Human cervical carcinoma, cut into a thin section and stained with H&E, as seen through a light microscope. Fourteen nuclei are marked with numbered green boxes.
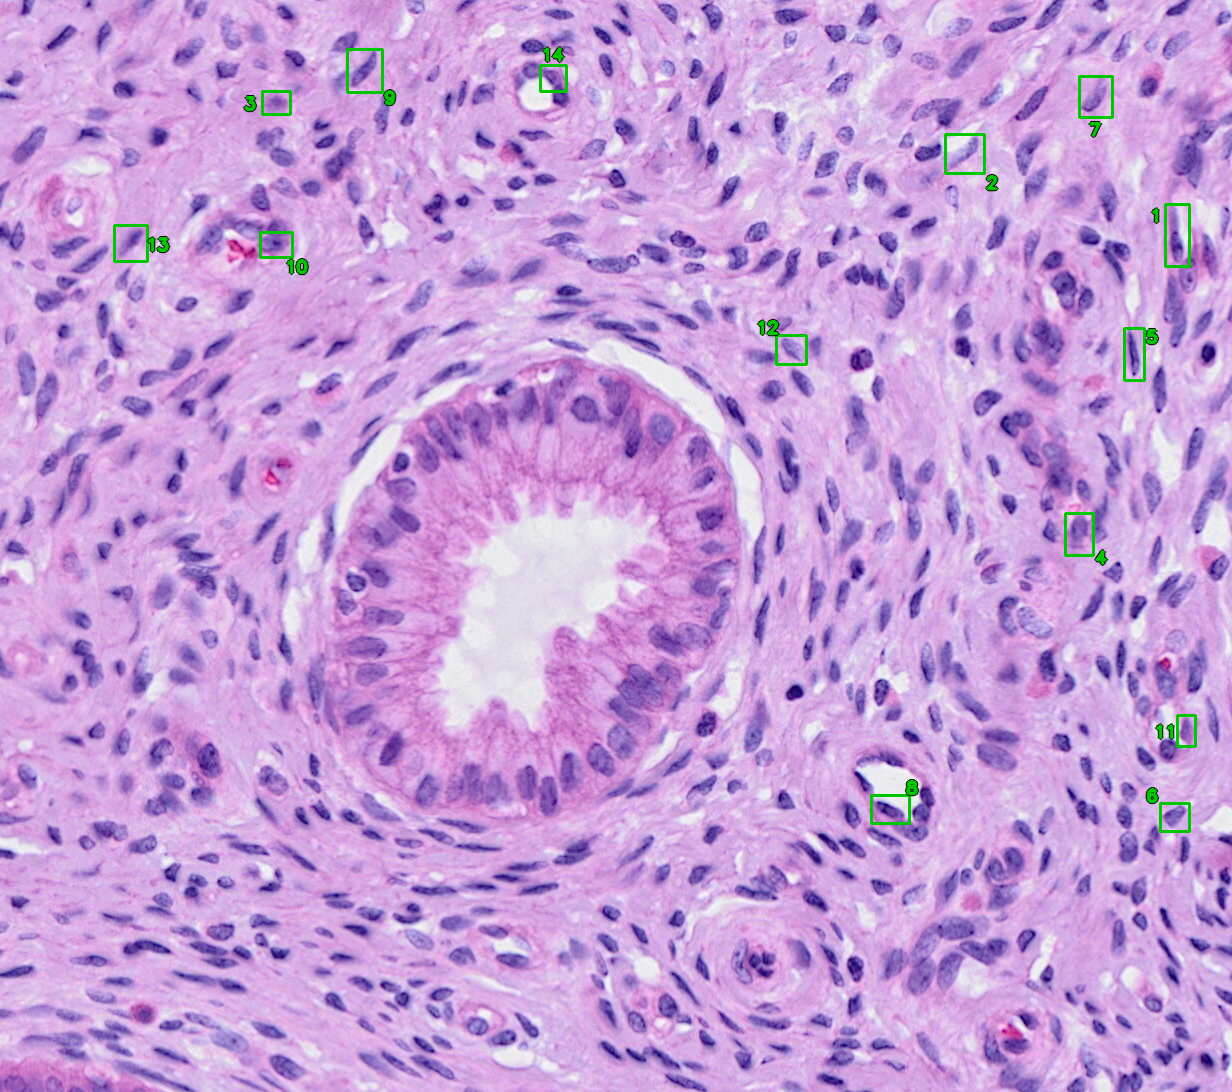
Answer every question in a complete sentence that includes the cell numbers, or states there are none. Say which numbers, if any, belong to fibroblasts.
The cells with labels 2, 3, 5, 6, 7, 9, 12 and 13 are fibroblasts.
